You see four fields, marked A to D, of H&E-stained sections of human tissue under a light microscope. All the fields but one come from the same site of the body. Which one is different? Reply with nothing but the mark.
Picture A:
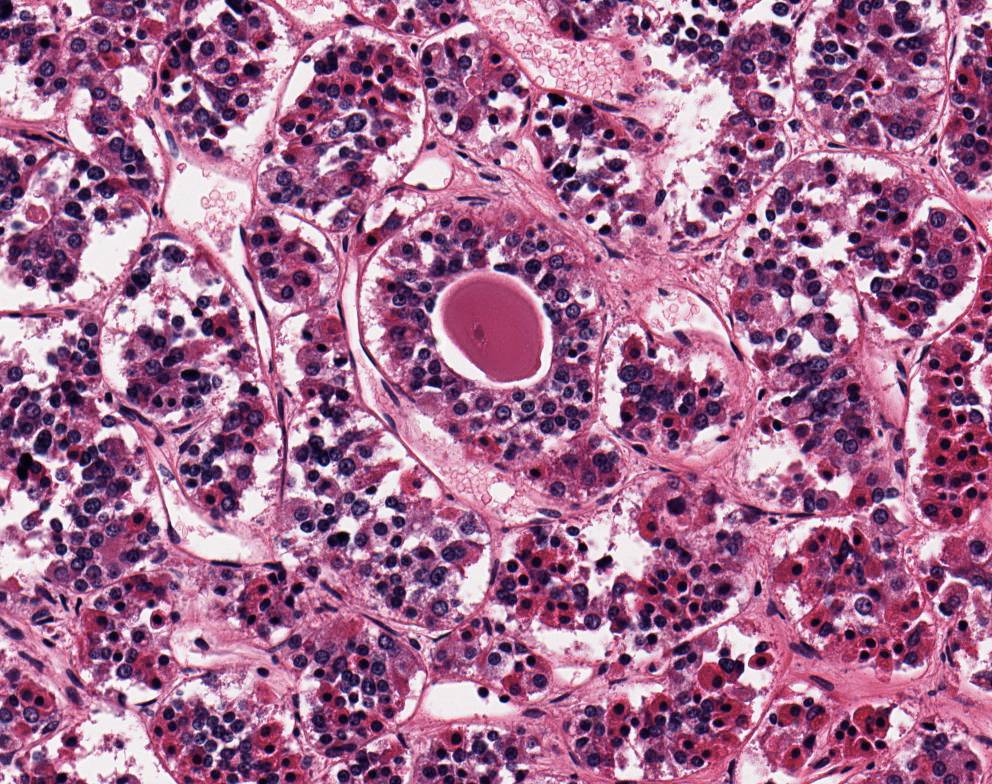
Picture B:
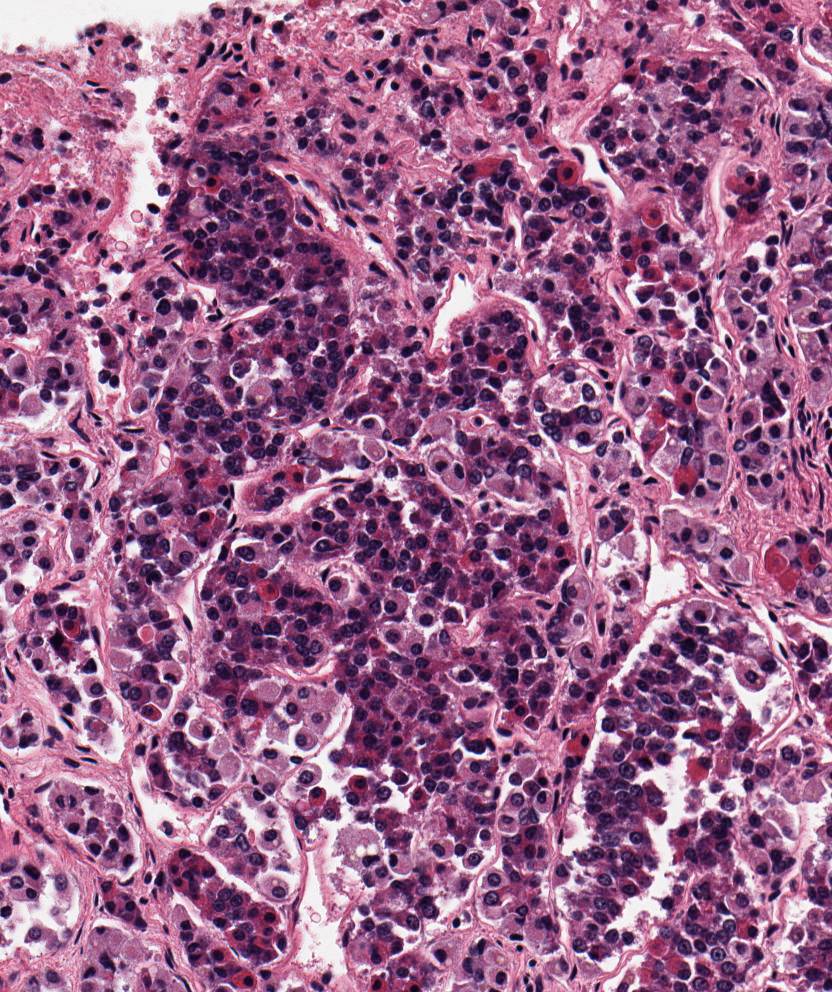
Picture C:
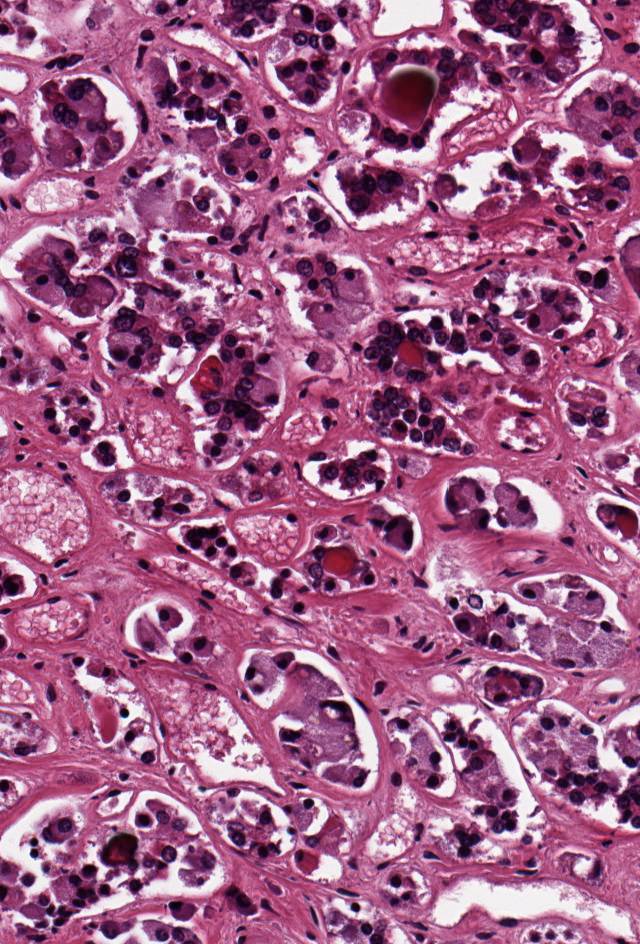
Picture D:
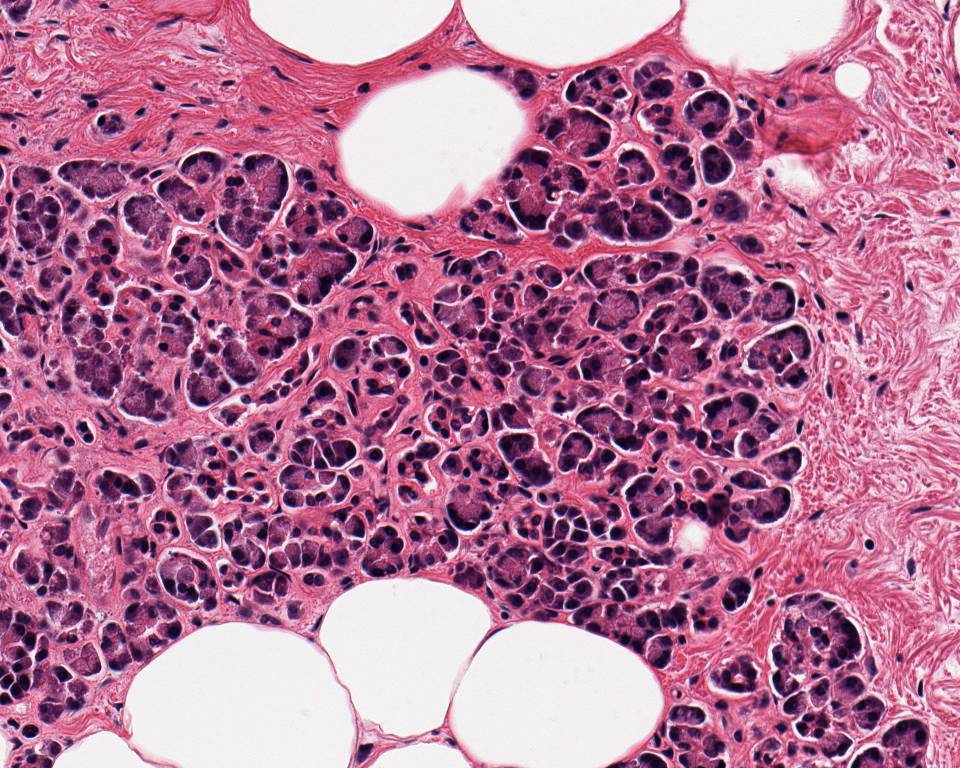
D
